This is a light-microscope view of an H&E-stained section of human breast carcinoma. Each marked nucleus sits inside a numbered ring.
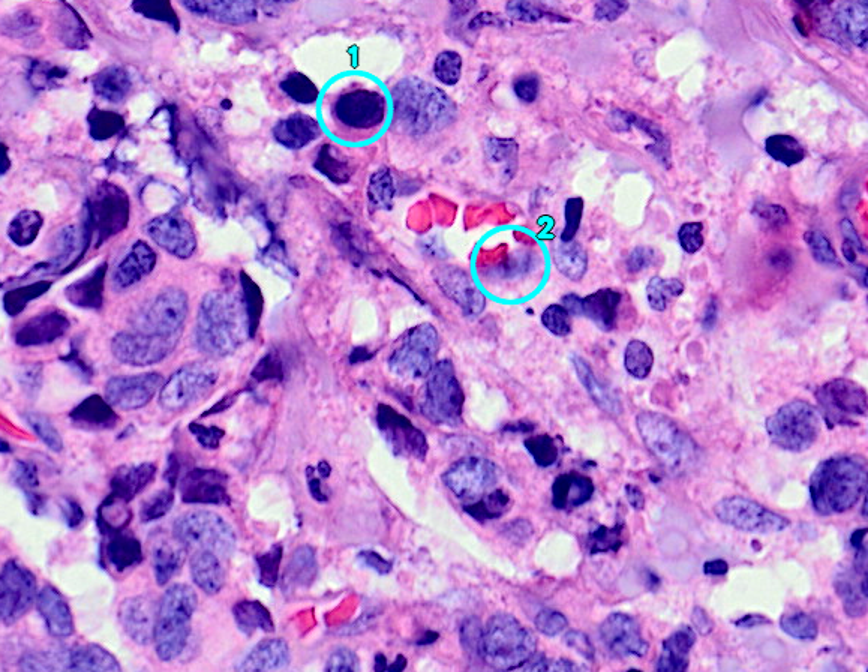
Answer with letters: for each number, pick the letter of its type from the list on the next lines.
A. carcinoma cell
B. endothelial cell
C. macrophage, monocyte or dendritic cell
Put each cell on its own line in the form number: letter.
1: A
2: B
